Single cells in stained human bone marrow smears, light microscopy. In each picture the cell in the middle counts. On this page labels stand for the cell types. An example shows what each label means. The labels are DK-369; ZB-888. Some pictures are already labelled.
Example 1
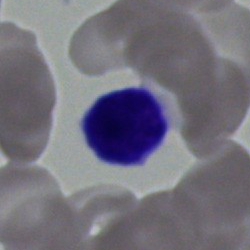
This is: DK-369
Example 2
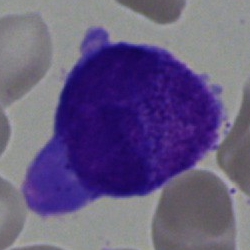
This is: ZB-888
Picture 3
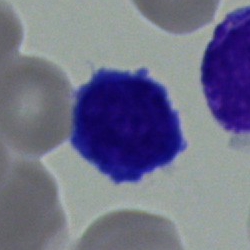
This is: DK-369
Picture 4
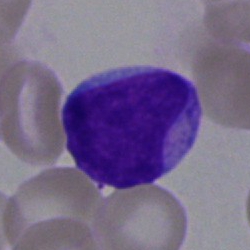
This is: ZB-888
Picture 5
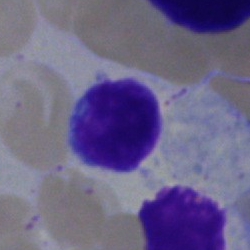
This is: DK-369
